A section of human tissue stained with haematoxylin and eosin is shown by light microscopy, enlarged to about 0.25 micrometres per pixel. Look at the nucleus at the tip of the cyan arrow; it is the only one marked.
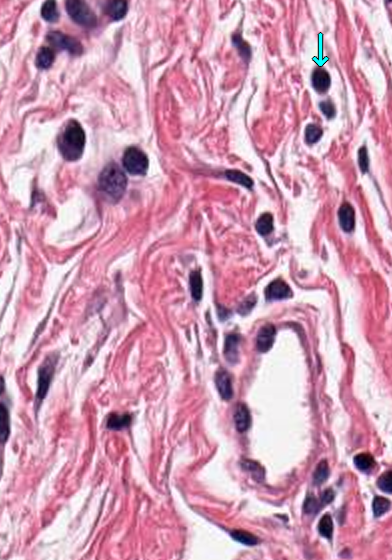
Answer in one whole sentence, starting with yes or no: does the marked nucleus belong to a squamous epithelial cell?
No, a squamous epithelial cell does not own the marked nucleus, which belongs to a supporting cell.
